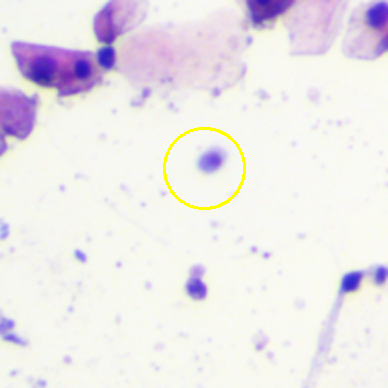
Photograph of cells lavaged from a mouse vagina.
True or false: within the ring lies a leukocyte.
True: a leukocyte lies within the ring.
